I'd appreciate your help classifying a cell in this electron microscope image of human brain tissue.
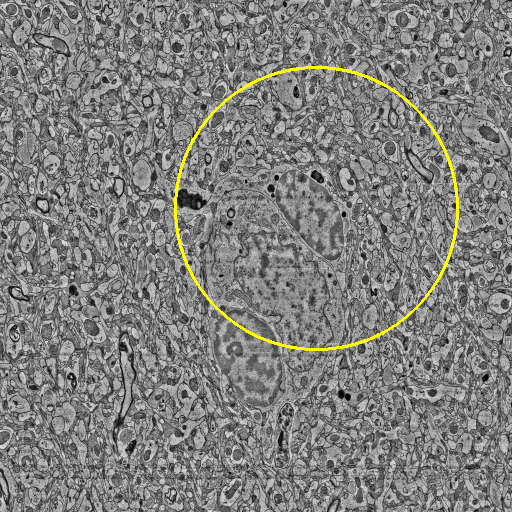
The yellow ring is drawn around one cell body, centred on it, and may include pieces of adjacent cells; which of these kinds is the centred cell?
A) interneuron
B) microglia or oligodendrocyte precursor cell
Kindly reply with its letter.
B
